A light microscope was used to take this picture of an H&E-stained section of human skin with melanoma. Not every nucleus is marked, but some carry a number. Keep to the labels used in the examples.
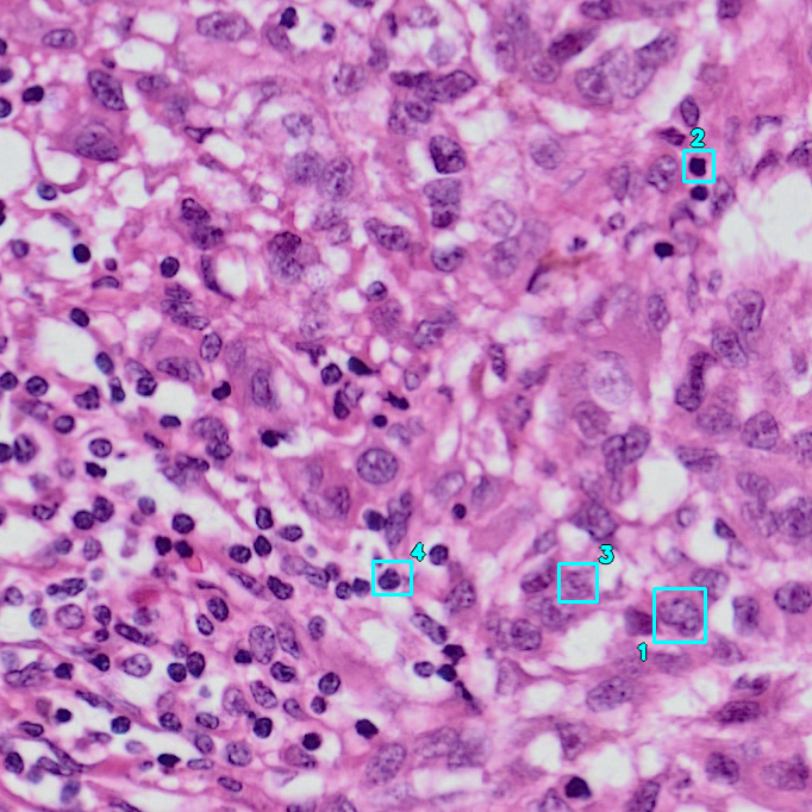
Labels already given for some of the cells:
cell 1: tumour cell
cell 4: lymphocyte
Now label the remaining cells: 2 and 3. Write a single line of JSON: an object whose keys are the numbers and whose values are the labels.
{"2": "lymphocyte", "3": "tumour cell"}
